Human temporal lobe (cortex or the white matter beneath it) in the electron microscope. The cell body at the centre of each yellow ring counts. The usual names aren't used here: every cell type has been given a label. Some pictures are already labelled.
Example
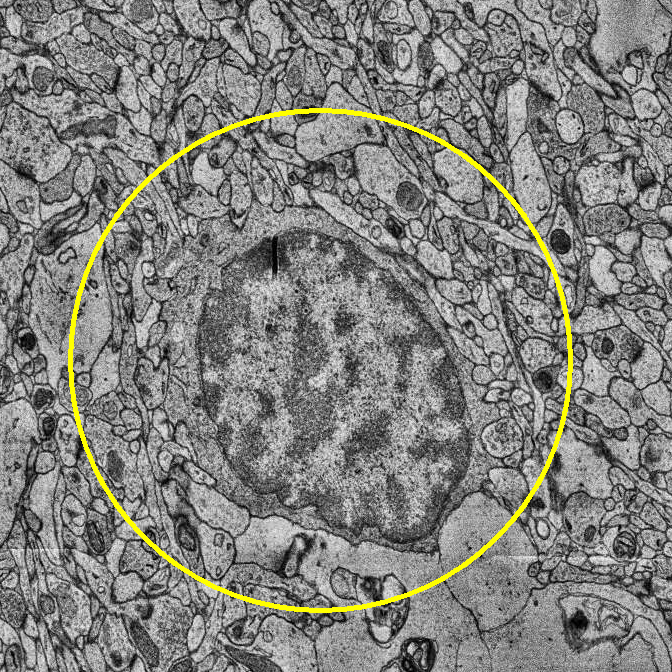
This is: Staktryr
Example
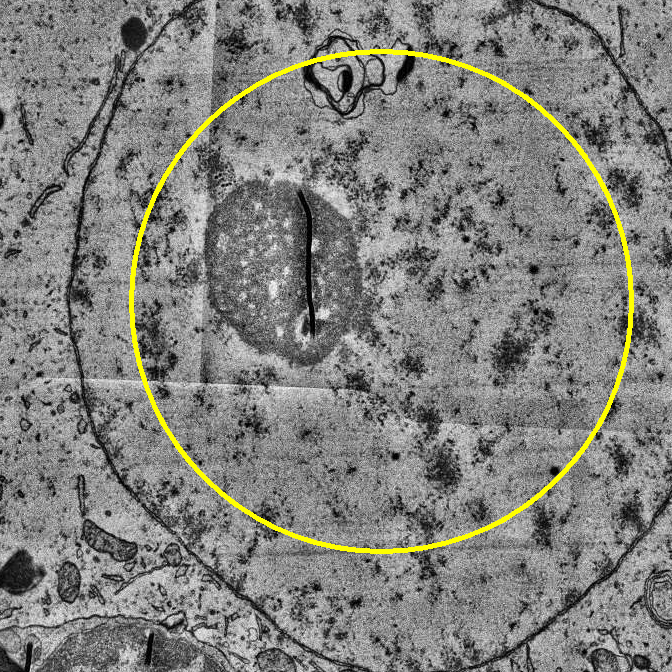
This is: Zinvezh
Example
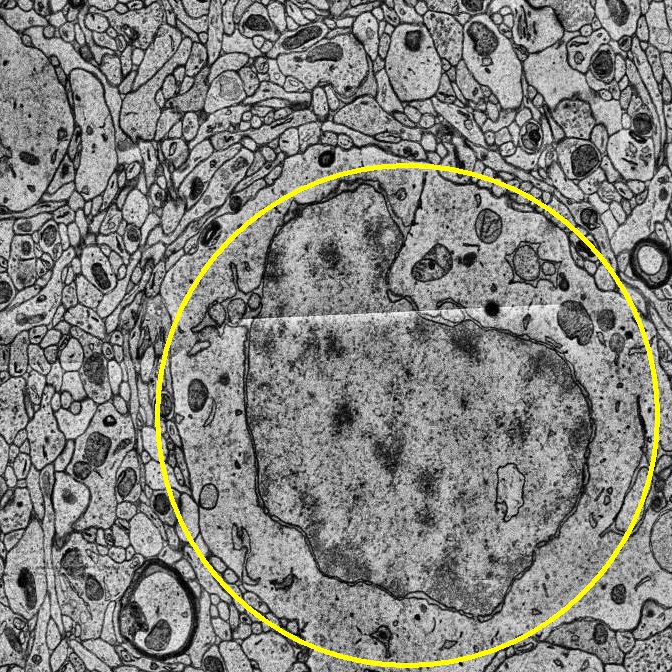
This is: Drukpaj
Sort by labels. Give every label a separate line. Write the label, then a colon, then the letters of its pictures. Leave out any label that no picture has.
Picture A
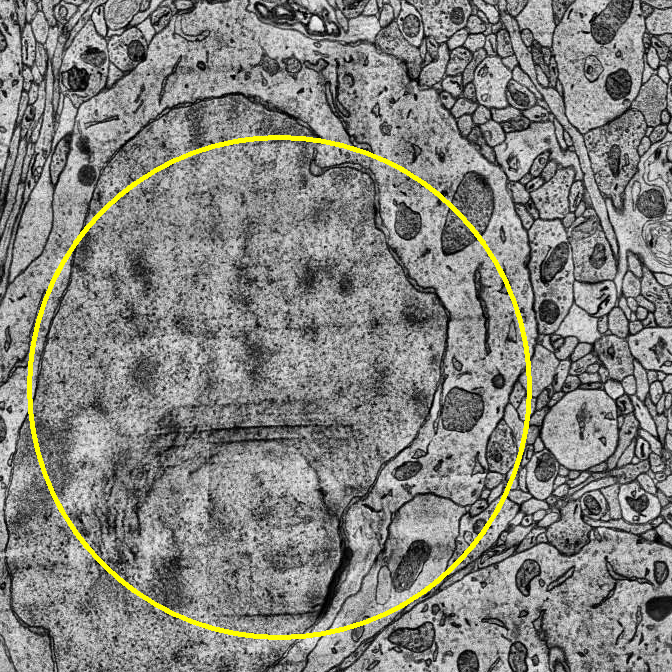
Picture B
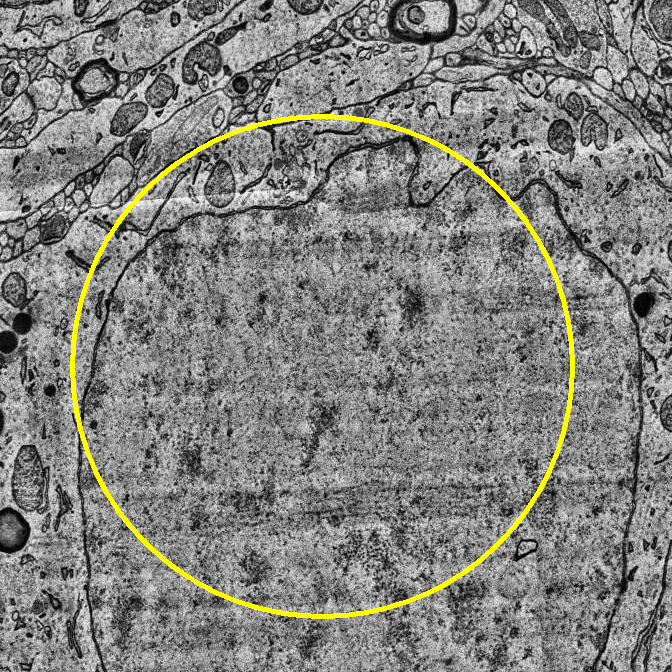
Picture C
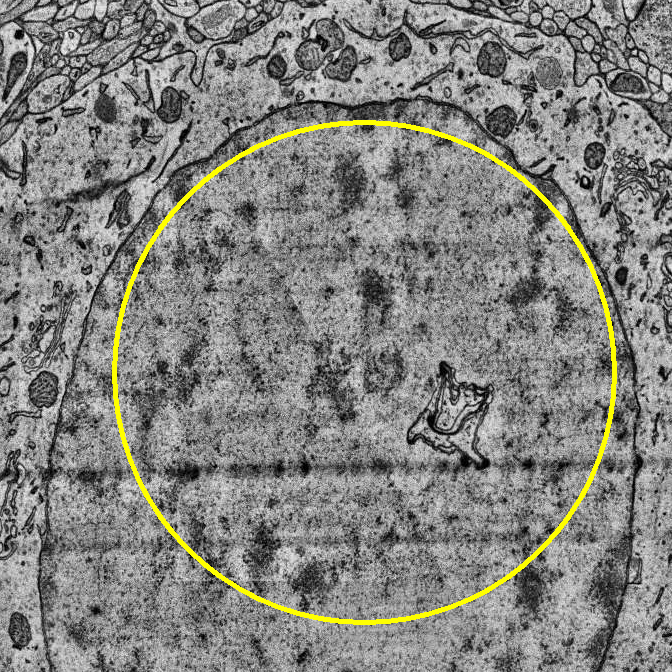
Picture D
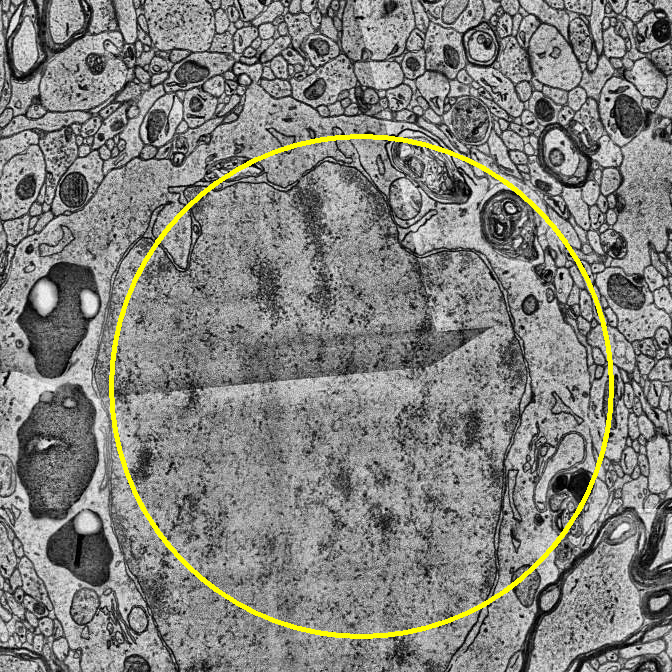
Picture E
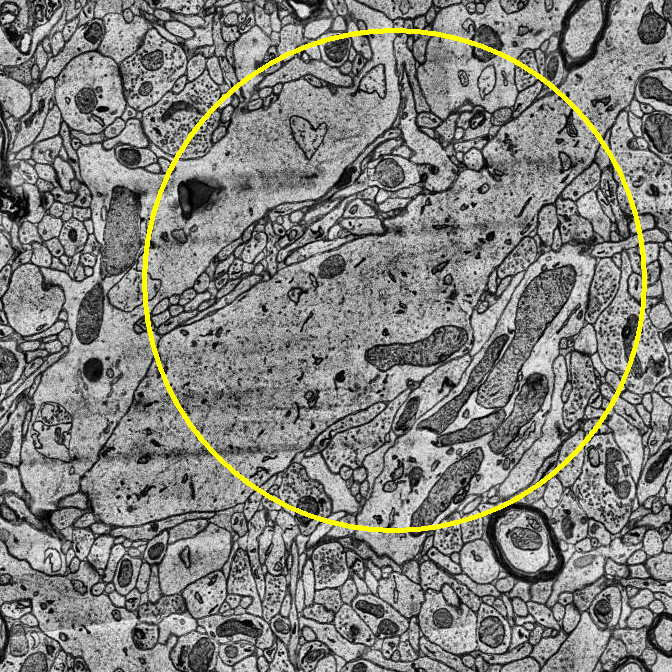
Staktryr: E
Zinvezh: B, C
Drukpaj: A, D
